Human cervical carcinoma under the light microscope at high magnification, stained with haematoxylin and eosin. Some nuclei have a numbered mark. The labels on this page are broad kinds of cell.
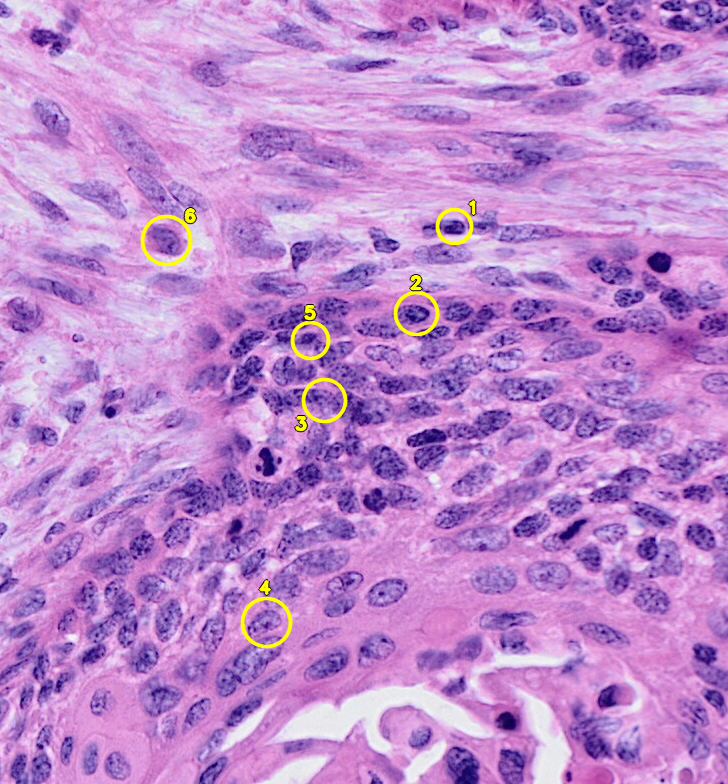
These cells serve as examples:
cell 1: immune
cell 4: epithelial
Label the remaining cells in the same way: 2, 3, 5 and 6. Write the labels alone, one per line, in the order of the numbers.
epithelial
epithelial
epithelial
immune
